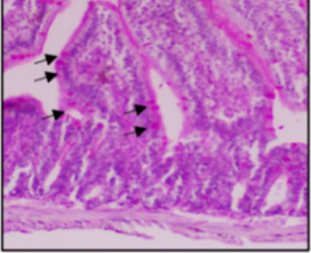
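Small intestinal mucosa with finger-like villi lined by a columnar epithelium, stained pink to purple. Scattered single goblet cells in the epithelial lining stand out in deep magenta. The villus cores hold a loose connective tissue with many small dark nuclei. The villi are separated by narrow clefts opening toward the surface. Beneath the mucosa a thin band of smooth muscle runs along the lower edge.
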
